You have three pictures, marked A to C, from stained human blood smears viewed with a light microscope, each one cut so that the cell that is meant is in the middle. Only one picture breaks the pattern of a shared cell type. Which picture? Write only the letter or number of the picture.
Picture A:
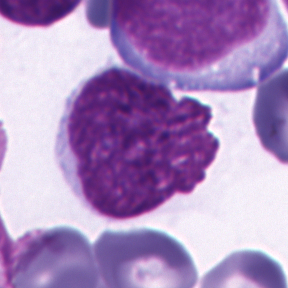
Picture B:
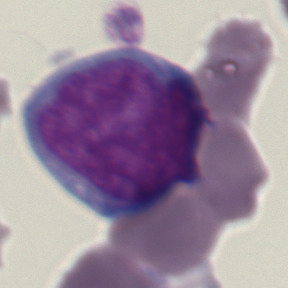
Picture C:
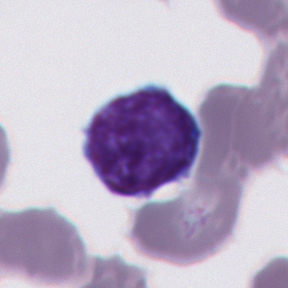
C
